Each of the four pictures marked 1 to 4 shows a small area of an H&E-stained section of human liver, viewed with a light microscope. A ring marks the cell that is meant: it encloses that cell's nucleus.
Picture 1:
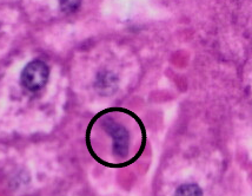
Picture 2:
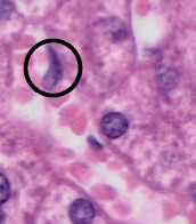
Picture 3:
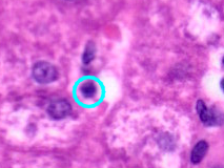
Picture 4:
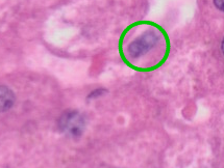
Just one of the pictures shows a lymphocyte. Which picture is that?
3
